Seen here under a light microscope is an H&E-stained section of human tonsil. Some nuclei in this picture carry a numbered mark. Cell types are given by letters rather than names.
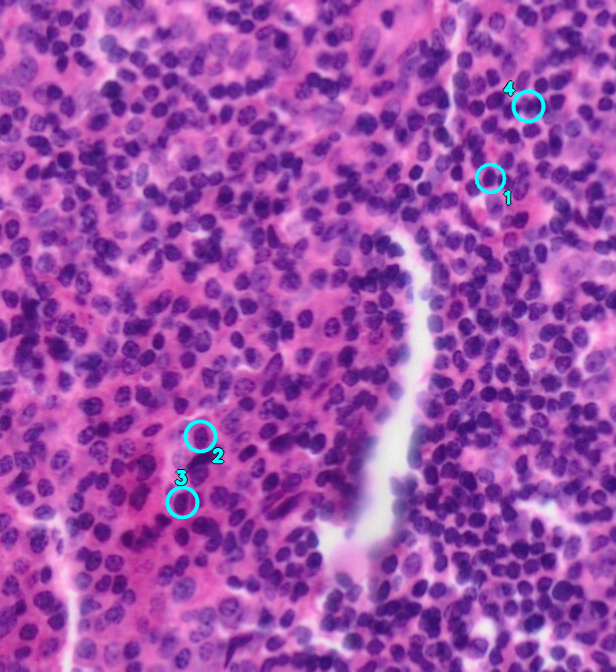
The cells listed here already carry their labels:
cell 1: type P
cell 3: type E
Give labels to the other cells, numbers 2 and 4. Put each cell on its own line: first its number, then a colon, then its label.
2: type E
4: type P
